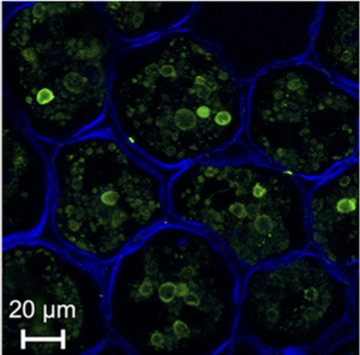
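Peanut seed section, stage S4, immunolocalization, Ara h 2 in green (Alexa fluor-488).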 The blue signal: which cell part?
Cell wall.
